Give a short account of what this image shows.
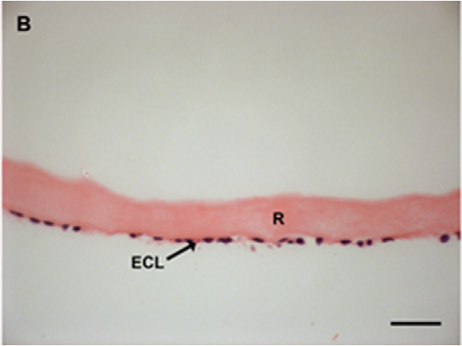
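This section shows a thin band of pale pink, homogeneous, cell-free material with a layer of endothelial cells along its lower surface. The pink band has no lamellae or nuclei within it.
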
